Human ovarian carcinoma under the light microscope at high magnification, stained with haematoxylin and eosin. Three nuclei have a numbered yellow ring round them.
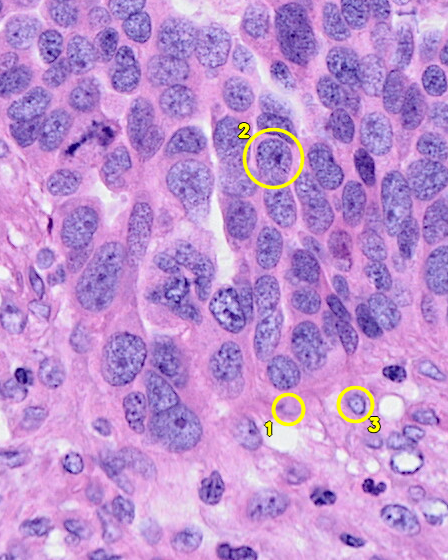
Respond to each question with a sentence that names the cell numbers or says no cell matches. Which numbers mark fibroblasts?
The identity of cells 1 and 3: they are fibroblasts.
